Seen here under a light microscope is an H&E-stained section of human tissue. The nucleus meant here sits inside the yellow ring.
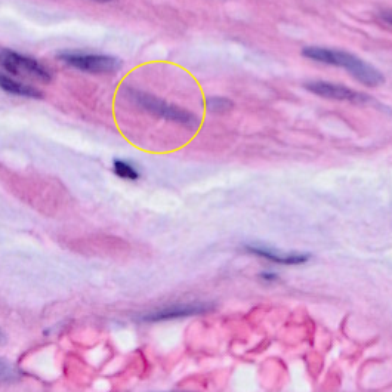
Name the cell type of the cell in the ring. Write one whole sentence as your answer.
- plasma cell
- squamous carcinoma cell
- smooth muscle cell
Just put down that the cell in the ring is a smooth muscle cell.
